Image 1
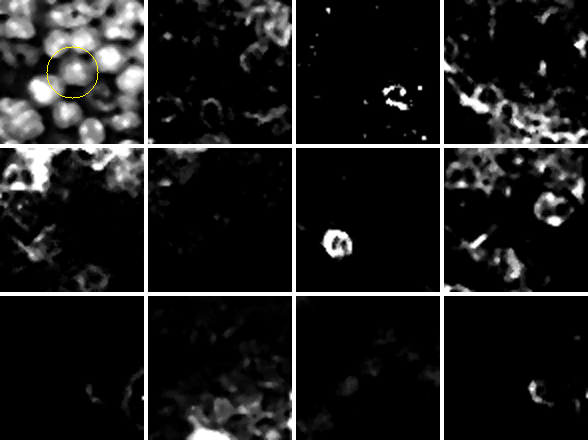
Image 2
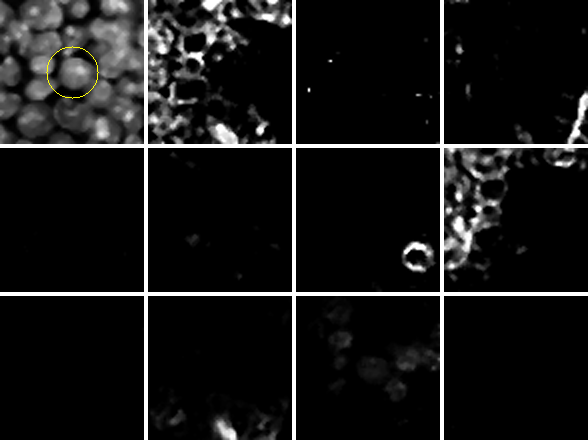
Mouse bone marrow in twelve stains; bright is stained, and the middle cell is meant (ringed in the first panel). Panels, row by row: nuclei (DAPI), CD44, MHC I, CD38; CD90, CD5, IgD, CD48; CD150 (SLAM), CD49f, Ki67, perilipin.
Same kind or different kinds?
Same: erythroblasts.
